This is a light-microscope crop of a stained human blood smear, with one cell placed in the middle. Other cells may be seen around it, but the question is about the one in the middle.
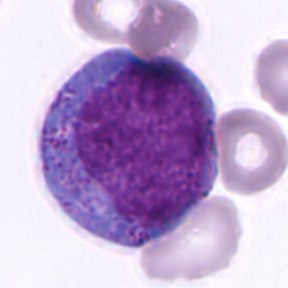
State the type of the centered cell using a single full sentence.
As for the cell in the middle, it is a promyelocyte.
